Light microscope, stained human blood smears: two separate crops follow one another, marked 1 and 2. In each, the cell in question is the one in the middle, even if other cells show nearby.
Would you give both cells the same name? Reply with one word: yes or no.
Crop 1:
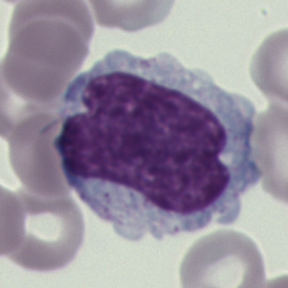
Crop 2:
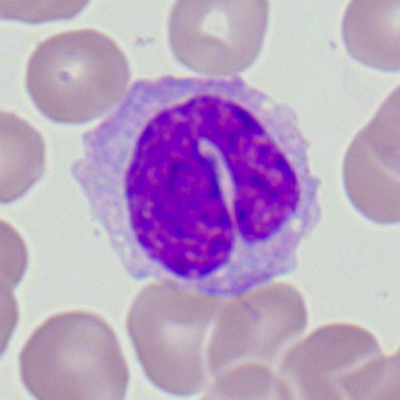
yes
